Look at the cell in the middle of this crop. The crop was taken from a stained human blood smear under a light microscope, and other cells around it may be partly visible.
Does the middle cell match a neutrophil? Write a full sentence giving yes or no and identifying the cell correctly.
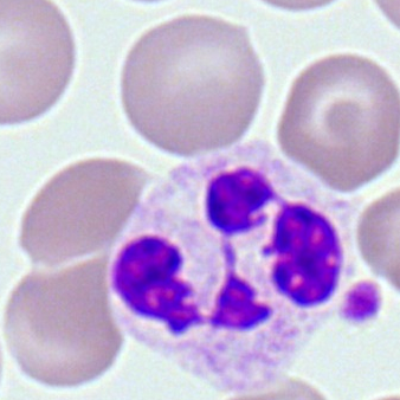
Yes, this central cell is a neutrophil.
